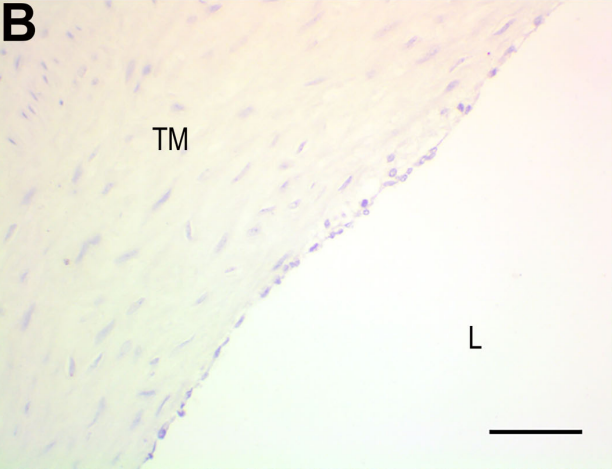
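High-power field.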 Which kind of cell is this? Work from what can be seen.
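Elongated, spindle-shaped nuclei lie parallel in a pale fibrous wall. The cells are arranged in layers running along the wall beside the lumen. On this evidence: smooth muscle cells.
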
